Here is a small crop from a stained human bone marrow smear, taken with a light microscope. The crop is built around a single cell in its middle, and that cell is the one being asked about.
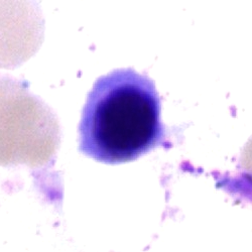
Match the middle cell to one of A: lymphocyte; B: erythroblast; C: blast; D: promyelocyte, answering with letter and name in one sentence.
The cell in the center of this crop is an erythroblast, so option B is the one to pick.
